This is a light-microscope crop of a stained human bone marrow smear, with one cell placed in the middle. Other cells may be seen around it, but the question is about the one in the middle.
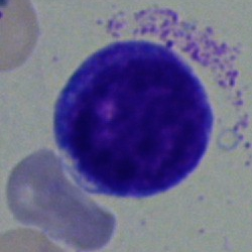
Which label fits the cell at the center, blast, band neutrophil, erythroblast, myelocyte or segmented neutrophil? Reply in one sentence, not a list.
For this crop, the central cell is a blast.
